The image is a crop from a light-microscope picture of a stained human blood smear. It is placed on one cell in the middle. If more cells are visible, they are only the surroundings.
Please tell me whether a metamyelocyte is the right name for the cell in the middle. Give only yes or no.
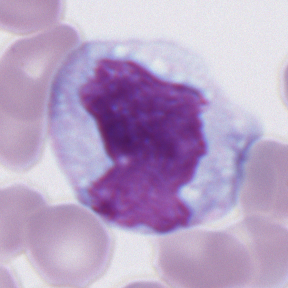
no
